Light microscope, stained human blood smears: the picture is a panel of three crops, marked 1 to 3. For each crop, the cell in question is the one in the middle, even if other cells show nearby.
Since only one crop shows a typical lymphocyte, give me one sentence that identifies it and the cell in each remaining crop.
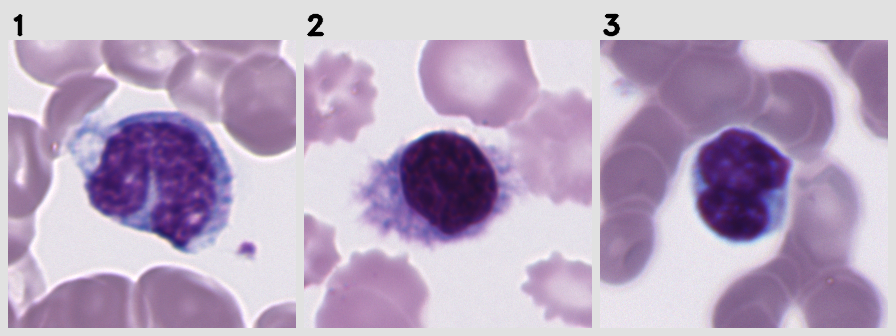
Crop by crop: crop 3 is a typical lymphocyte, while crop 1 is a monocyte and crop 2 is a hairy cell.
